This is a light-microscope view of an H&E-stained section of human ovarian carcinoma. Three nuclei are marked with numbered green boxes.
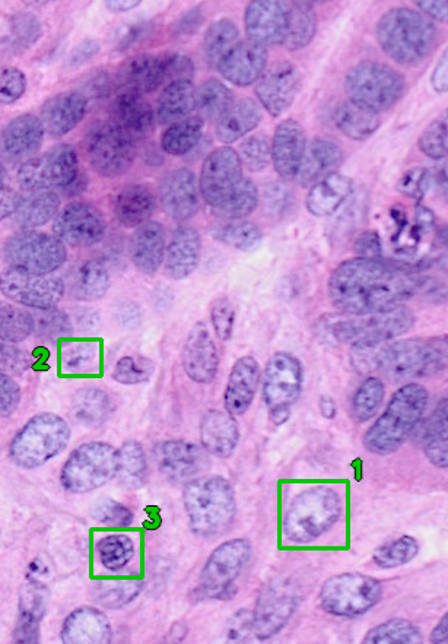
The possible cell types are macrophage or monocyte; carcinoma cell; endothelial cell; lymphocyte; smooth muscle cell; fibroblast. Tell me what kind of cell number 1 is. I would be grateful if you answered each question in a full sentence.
The cell marked with number 1 is a fibroblast.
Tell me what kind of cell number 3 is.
The mark numbered 3 indicates the nucleus of a lymphocyte.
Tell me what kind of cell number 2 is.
The expected answer is that cell 2 is a macrophage or monocyte.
